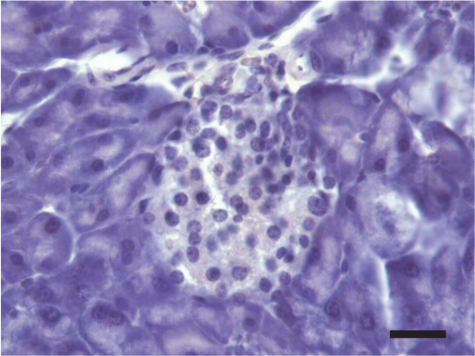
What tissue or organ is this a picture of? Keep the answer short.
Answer: islets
